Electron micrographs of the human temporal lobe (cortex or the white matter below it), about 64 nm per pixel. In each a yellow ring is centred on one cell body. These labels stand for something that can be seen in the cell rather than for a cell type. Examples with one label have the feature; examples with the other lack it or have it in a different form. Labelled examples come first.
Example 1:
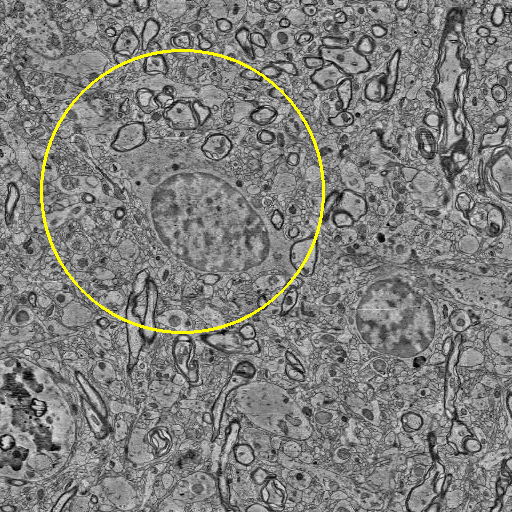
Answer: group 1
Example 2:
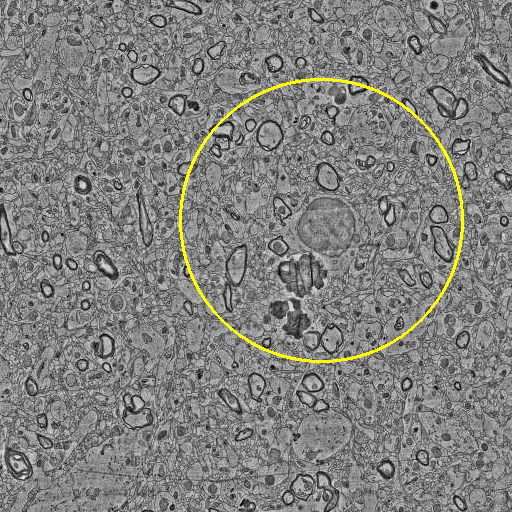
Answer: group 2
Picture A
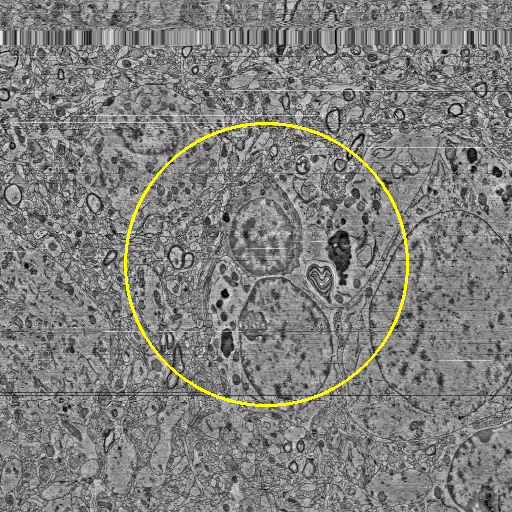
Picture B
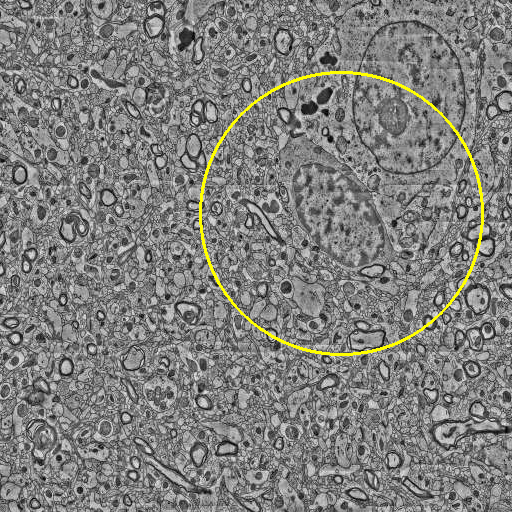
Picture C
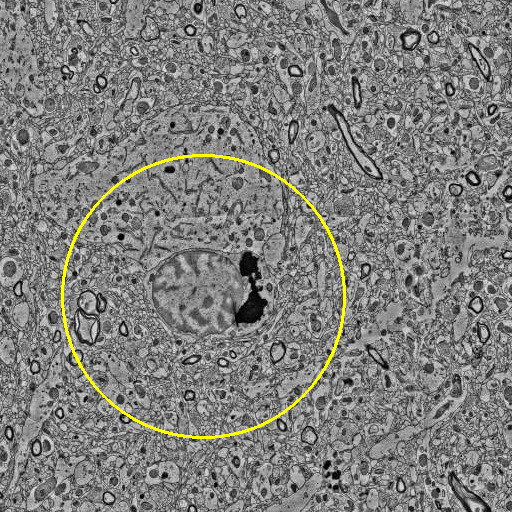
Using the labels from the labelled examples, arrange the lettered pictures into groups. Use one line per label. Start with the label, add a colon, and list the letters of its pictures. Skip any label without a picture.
group 1: B
group 2: A, C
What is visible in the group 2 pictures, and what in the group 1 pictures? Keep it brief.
group 2: round or nearly round nuclei; group 1: clearly elongated nuclei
